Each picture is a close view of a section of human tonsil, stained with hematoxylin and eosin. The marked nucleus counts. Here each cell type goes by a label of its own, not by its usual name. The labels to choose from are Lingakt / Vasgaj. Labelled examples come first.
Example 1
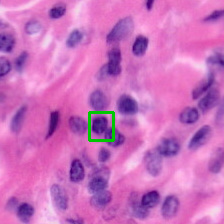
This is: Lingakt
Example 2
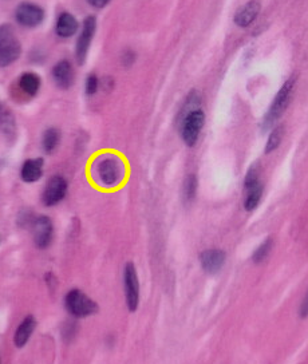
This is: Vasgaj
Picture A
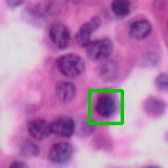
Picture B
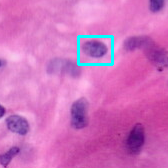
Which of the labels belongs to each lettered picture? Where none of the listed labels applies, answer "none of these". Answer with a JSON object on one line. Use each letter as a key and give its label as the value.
{"A": "Lingakt", "B": "Vasgaj"}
